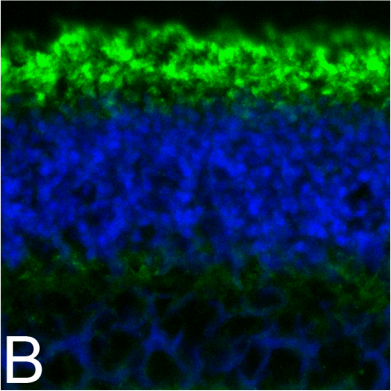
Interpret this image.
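A section of the outer retina showing photoreceptor layers. A bright green, somewhat clumped band of photoreceptor outer segments lies at the top above a thick outer nuclear layer of packed blue nuclei.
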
